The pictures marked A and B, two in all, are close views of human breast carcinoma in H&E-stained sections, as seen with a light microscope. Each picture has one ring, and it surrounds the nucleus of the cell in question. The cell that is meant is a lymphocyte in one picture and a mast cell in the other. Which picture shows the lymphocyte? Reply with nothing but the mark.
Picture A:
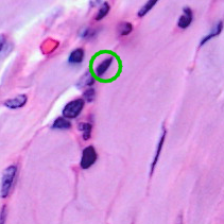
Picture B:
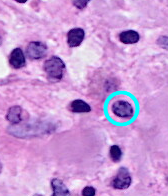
A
